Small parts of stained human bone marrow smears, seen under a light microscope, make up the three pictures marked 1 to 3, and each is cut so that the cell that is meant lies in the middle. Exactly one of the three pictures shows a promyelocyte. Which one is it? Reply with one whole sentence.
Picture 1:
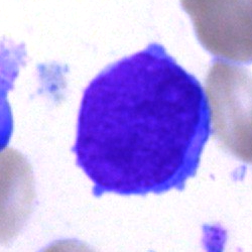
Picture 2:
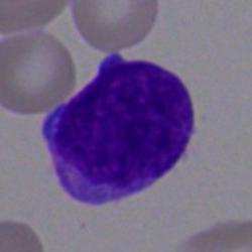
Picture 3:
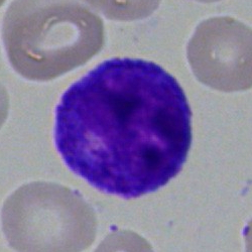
The cell in picture 3 is the promyelocyte.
